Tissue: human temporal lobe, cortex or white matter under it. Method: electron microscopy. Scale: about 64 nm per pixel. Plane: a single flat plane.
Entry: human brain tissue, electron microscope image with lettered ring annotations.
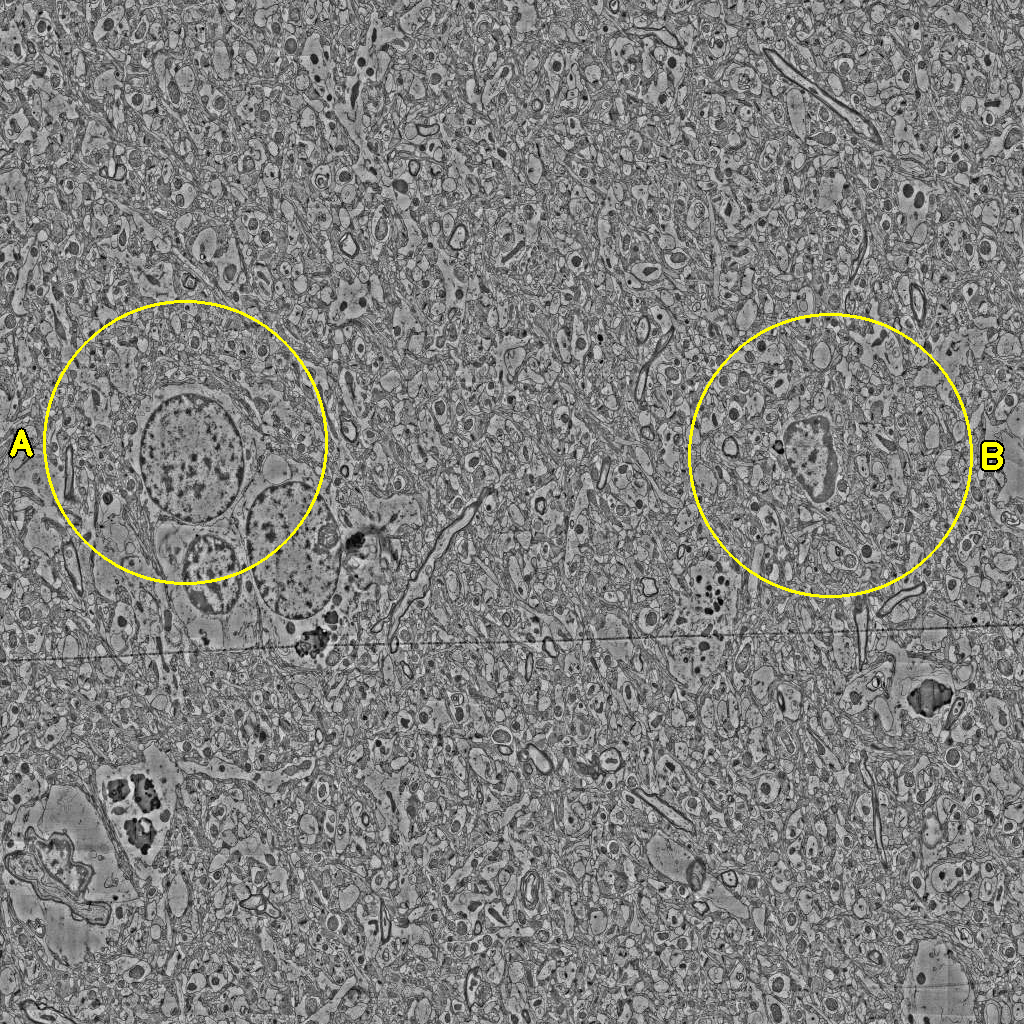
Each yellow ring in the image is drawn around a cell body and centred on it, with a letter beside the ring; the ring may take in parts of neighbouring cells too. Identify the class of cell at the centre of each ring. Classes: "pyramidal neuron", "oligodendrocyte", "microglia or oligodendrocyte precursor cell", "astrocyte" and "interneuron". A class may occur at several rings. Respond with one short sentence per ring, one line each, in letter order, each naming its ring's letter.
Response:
Ring A holds an astrocyte at its centre.
Ring B holds a microglial cell or oligodendrocyte precursor cell at its centre.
